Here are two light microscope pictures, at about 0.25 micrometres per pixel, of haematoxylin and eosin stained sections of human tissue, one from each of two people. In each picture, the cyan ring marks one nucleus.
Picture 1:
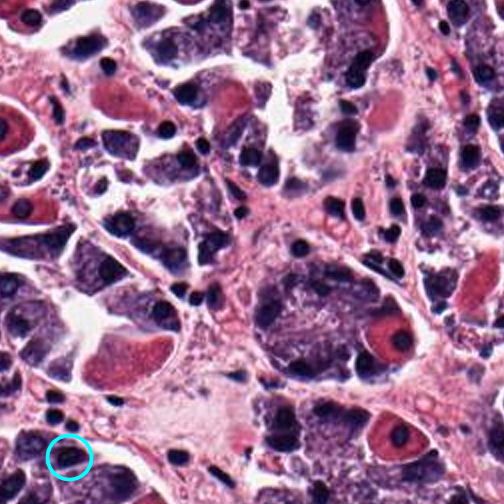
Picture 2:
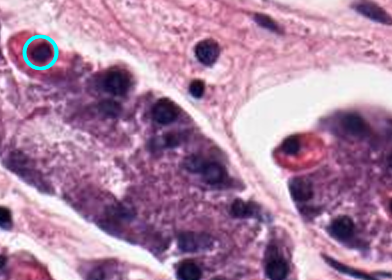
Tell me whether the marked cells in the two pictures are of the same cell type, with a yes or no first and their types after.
No, the first is a chief cell and the second a parietal cell.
